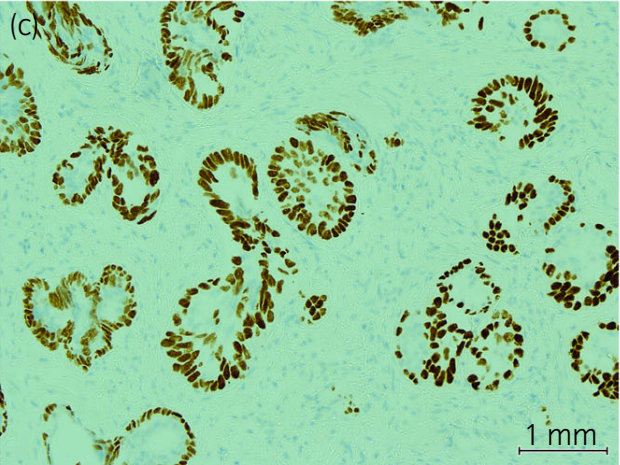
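These are nests of neoplastic cells in a pale, spindle-celled stroma. The cell nuclei of the nests are stained a strong brown, while the stromal nuclei stay pale blue. The brown nuclei are densest in a row along the outer rim of each nest, with fewer inside. The nests vary in size and outline, and some have hollow or pale centres.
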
